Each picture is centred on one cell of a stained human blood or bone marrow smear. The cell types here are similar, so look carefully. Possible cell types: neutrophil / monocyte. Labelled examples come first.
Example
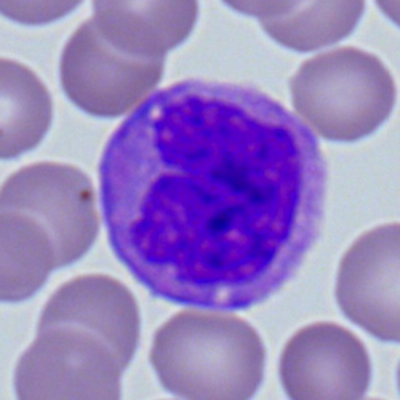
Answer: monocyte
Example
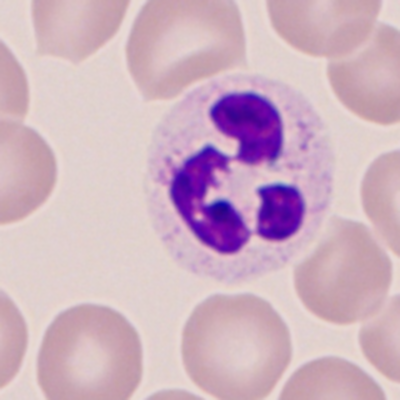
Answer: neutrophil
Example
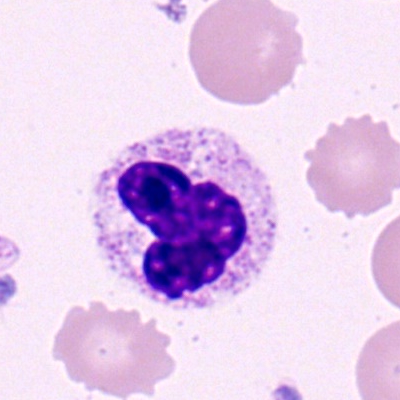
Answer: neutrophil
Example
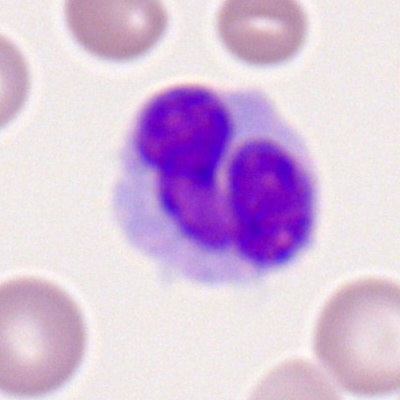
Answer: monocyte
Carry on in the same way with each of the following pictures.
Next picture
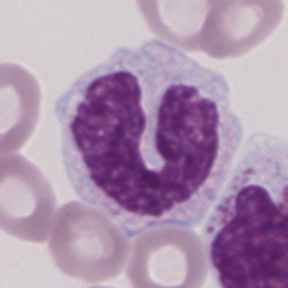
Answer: monocyte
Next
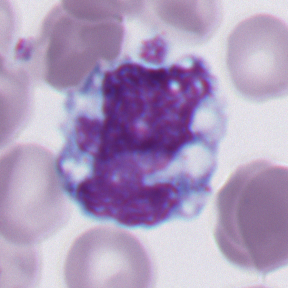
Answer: monocyte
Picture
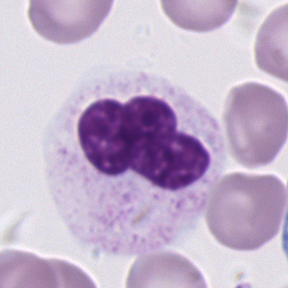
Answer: neutrophil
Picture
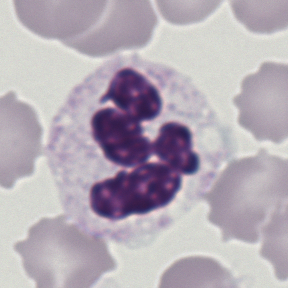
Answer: neutrophil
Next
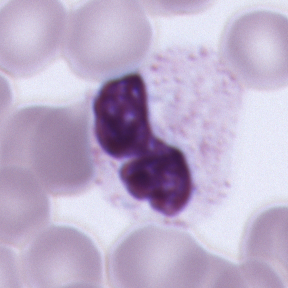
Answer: neutrophil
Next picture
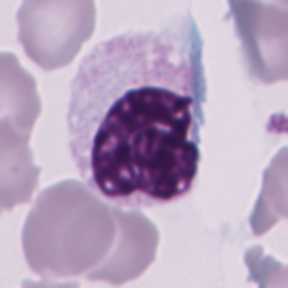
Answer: neutrophil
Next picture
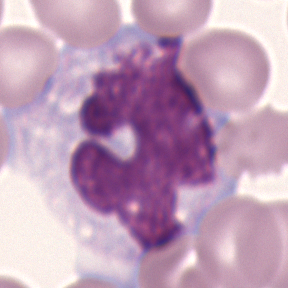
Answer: monocyte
